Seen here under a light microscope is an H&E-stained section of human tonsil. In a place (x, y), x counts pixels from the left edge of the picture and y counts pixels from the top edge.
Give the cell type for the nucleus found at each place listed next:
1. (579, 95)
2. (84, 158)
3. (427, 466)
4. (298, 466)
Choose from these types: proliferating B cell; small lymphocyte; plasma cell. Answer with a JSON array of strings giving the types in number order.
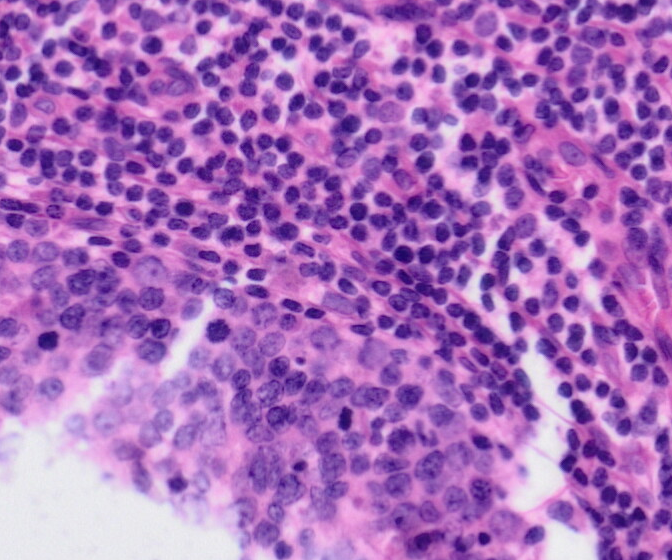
["small lymphocyte", "small lymphocyte", "proliferating B cell", "proliferating B cell"]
